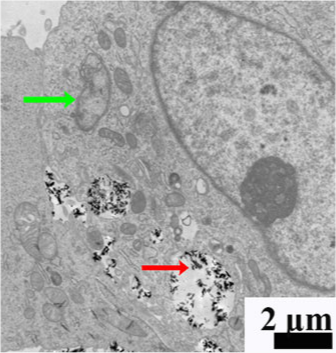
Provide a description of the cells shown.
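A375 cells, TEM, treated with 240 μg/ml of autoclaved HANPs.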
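Electron micrograph of a cultured cell showing a large nucleus, vacuoles with dense particles and a swollen mitochondrion. The oval nucleus at the right has finely granular chromatin and a large, dark, lobed nucleolus. In the cytoplasm at the lower left, several clear vacuoles contain clusters of very dark, electron-dense particles. At the upper left, one mitochondrion is enlarged, with a pale matrix and disrupted cristae. Other mitochondria and small vesicles lie scattered through the cytoplasm, and a neighbouring cell borders the lower left.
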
